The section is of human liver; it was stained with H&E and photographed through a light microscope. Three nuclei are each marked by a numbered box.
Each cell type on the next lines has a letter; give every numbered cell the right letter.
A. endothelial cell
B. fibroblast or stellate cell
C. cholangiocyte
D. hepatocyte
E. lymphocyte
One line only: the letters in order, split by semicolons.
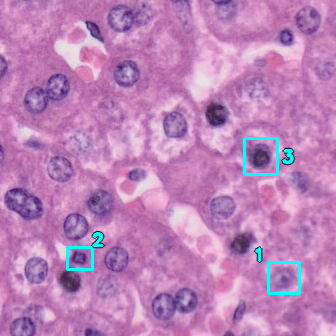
D; B; D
